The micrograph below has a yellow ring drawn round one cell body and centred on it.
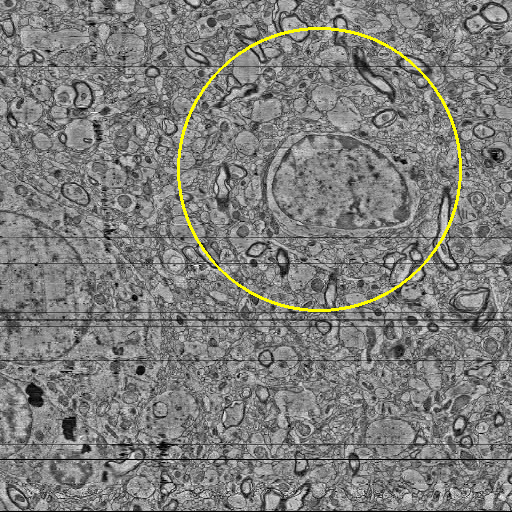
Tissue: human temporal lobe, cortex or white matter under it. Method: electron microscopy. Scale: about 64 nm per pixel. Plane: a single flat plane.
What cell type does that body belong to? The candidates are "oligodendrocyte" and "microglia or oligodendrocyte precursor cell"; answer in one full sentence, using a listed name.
This is a microglial cell or oligodendrocyte precursor cell, the cell whose body lies at the centre of the ring.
